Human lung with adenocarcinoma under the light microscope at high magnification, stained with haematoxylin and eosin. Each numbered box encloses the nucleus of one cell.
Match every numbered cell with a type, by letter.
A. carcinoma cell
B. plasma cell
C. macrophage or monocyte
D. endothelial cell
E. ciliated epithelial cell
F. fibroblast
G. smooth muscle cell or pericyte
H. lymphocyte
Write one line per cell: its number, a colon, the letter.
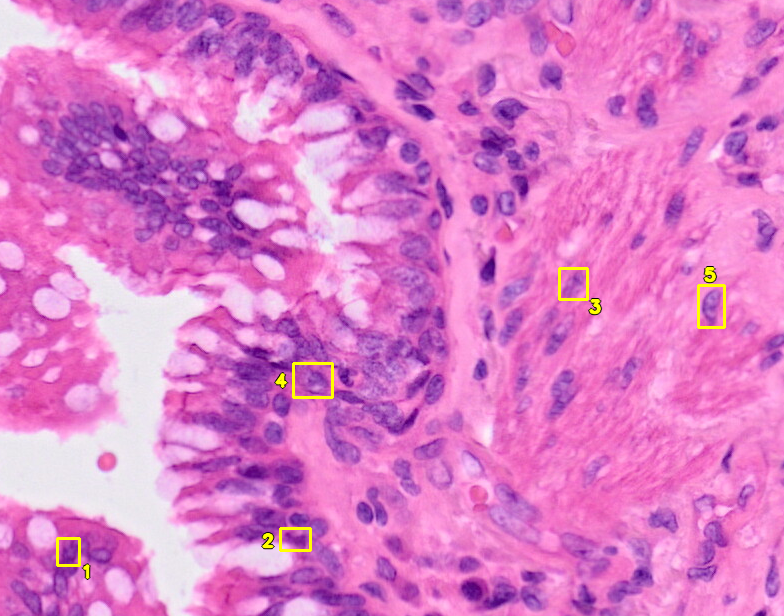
1: E
2: E
3: G
4: E
5: G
